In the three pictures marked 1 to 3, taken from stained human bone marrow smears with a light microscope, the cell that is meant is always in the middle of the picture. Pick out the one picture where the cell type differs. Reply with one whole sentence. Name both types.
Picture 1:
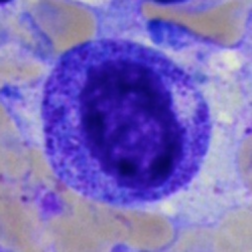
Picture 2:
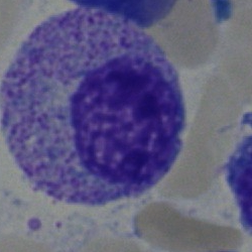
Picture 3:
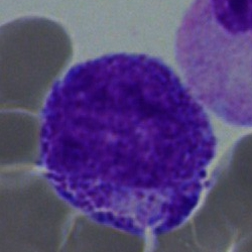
Picture 1 is the odd one out: it shows a promyelocyte, while the others show myelocytes.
